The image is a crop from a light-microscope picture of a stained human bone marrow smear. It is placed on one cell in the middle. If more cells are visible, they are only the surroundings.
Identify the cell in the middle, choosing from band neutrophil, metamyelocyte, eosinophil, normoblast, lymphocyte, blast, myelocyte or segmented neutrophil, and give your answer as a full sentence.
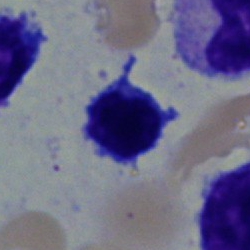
The cell marked by its central position in the crop is a lymphocyte.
